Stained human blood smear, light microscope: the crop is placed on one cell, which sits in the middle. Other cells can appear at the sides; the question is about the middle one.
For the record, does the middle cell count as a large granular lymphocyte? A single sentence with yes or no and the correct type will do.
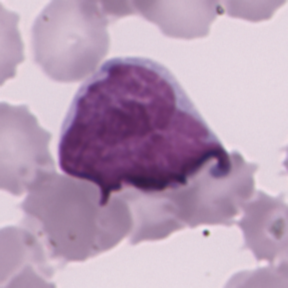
No, the cell in the centre is a myeloblast instead of a large granular lymphocyte.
